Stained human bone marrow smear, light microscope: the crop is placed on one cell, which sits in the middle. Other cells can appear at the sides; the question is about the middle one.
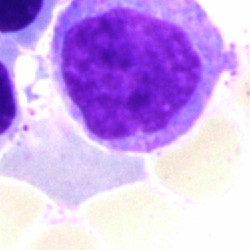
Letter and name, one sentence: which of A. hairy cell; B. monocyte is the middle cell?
Option B gets it right: the cell in the middle is a monocyte.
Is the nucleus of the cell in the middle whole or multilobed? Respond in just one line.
What stands out is a nucleus forming one compact round, oval or kidney-shaped mass.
